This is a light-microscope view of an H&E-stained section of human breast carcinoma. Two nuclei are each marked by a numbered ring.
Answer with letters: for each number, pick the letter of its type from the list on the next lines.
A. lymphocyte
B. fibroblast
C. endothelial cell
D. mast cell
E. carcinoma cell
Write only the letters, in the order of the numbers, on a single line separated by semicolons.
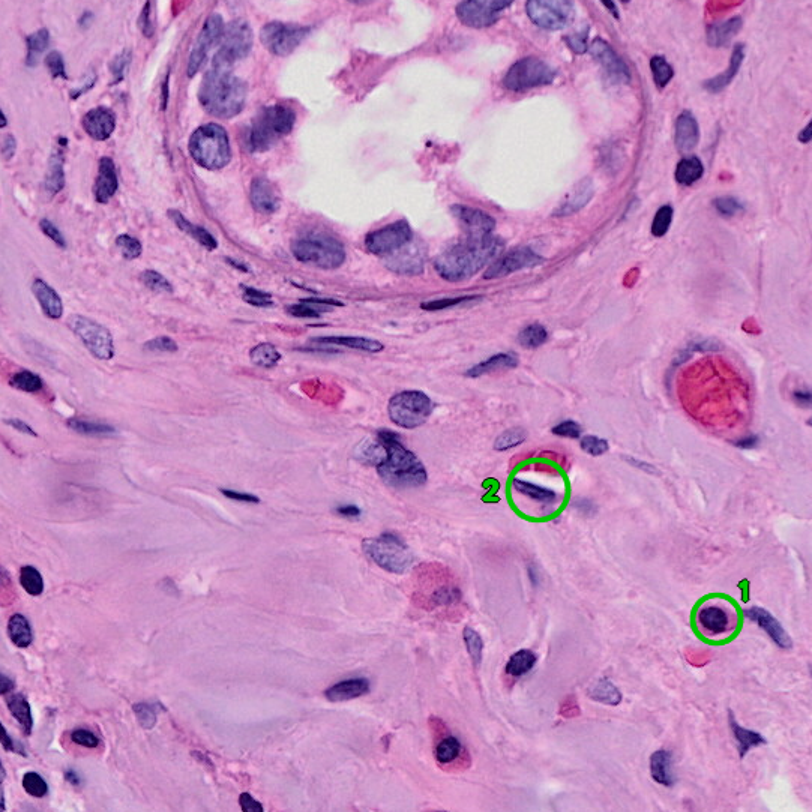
D; C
